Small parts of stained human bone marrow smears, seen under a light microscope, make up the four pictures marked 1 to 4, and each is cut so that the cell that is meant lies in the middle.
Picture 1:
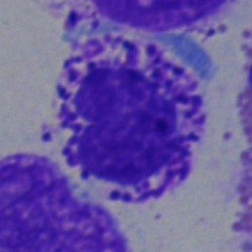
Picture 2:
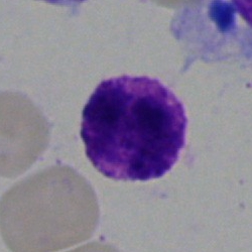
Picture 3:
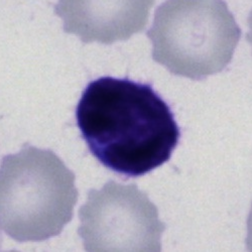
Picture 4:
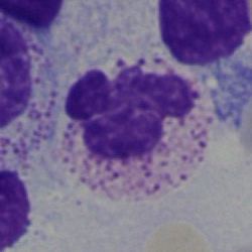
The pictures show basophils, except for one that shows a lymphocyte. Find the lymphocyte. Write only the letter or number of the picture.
3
